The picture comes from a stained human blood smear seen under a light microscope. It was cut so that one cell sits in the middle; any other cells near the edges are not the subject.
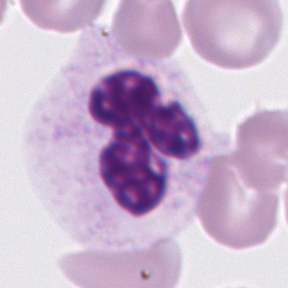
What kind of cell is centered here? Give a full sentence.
To answer, the cell in the center of the crop is a segmented neutrophil.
